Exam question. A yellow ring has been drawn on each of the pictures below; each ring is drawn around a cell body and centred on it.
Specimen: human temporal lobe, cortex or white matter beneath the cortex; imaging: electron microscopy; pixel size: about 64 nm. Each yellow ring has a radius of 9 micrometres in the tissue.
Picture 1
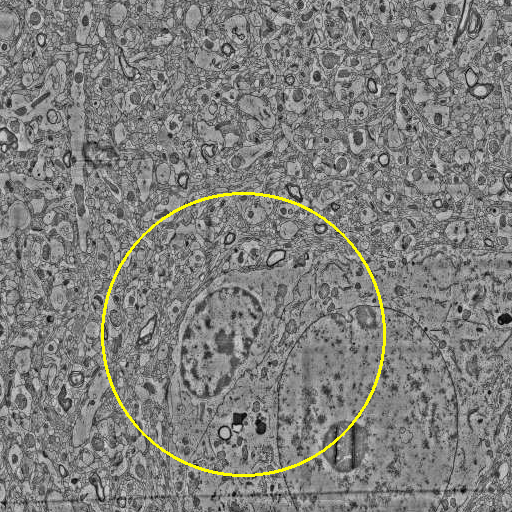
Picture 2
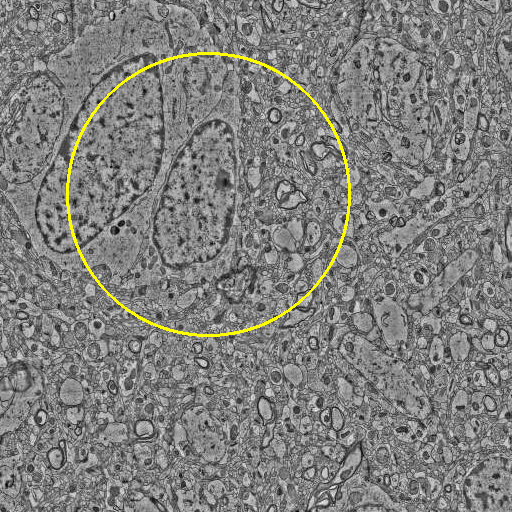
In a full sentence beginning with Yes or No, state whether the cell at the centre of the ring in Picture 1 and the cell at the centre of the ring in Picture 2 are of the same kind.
Yes, the two cells are of the same kind.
